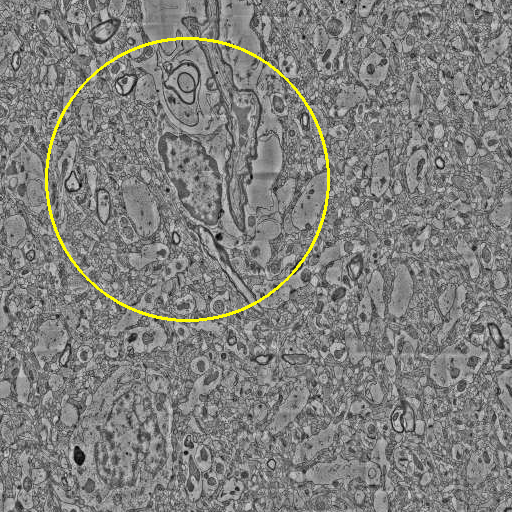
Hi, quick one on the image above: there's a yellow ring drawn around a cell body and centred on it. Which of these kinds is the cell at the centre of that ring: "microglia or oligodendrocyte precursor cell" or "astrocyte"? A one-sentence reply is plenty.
The cell at the centre of the ring is a microglial cell or oligodendrocyte precursor cell.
